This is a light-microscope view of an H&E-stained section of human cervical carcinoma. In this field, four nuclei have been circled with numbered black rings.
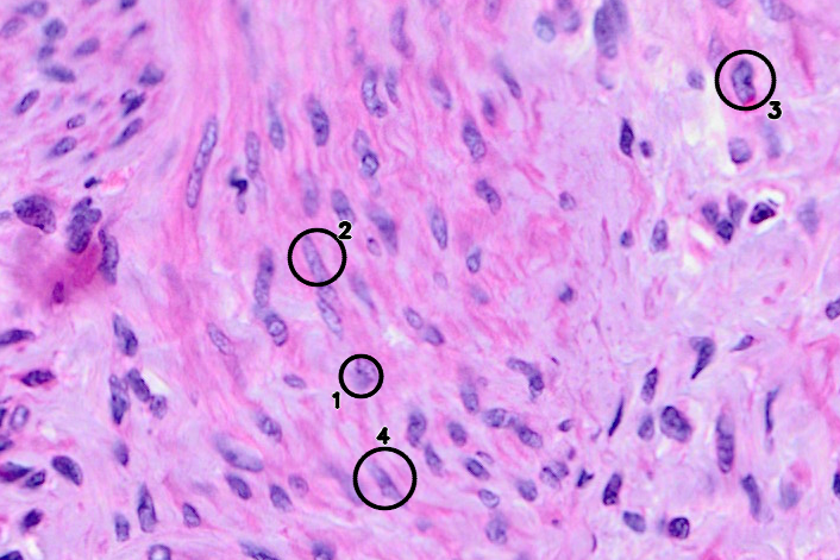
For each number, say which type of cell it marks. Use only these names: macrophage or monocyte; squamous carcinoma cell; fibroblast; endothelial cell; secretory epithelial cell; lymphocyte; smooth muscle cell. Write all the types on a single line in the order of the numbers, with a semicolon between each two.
smooth muscle cell; smooth muscle cell; endothelial cell; smooth muscle cell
